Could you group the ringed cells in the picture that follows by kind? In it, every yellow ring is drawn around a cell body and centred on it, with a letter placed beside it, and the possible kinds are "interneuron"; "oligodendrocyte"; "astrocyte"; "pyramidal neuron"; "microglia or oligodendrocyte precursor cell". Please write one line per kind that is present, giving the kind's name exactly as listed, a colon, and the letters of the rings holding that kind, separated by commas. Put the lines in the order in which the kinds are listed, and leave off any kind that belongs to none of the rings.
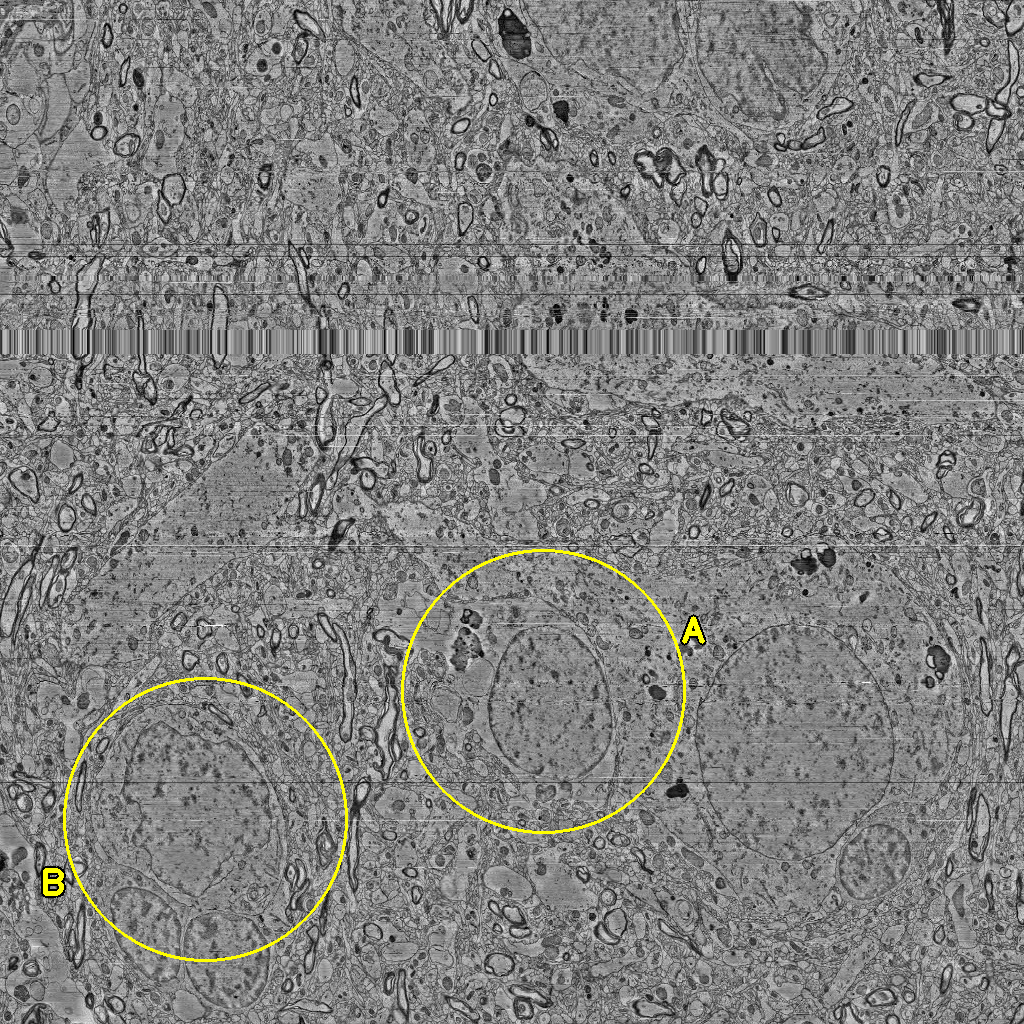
interneuron: B
astrocyte: A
